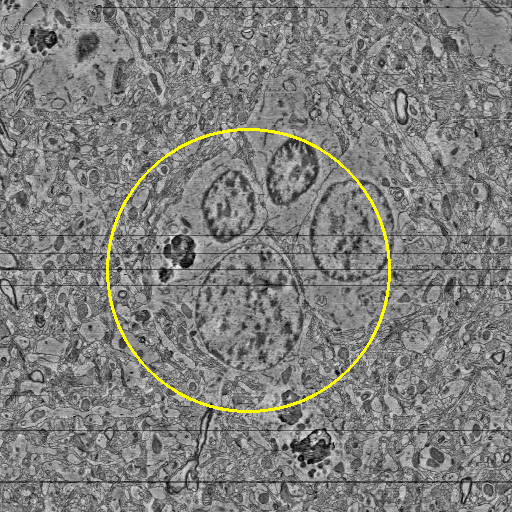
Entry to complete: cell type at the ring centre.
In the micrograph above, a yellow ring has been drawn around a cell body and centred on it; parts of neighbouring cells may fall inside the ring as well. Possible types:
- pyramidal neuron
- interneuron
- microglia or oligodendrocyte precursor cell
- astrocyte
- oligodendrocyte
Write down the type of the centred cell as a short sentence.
The ring is centred on an astrocyte.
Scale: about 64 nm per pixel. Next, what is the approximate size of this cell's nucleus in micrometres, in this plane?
In this plane, approximately 8 by 7 micrometers.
